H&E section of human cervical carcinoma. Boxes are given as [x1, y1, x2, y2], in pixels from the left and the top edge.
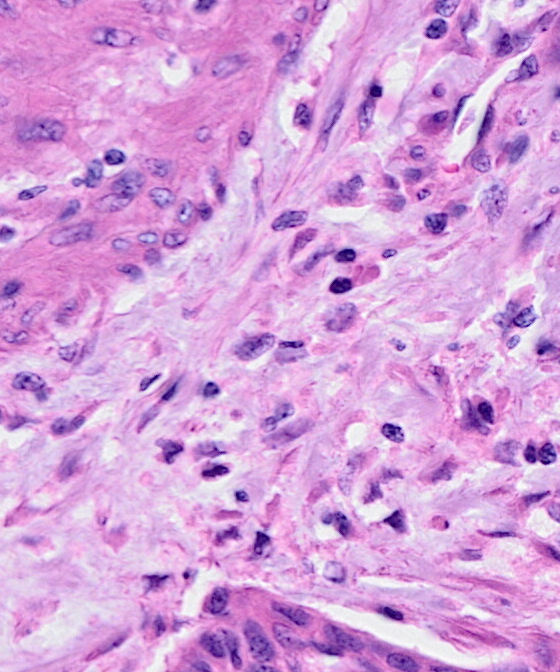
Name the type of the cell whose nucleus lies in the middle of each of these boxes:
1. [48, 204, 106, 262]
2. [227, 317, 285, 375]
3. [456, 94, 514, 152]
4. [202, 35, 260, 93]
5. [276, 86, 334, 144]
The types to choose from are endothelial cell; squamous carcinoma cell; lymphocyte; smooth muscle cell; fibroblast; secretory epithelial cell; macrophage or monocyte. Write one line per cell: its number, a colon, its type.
1: smooth muscle cell
2: macrophage or monocyte
3: endothelial cell
4: smooth muscle cell
5: macrophage or monocyte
